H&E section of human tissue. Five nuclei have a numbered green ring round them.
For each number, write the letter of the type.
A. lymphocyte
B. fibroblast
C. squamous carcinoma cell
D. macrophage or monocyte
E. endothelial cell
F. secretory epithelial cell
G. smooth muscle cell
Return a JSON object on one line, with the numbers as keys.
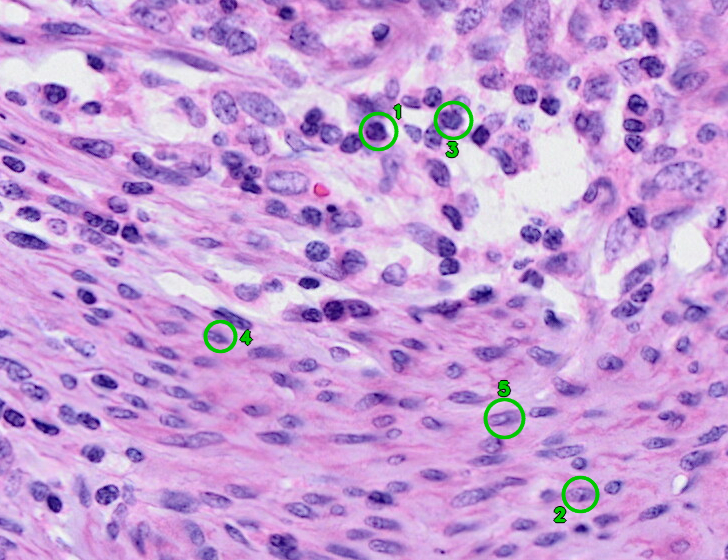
{"1": "A", "2": "G", "3": "A", "4": "G", "5": "G"}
